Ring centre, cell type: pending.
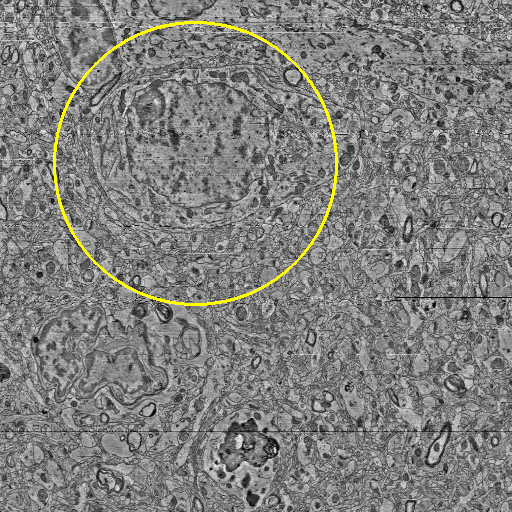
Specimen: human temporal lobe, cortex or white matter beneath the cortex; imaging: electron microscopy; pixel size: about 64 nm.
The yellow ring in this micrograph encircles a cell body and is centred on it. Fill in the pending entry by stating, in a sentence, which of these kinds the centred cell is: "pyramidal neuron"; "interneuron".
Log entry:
The centred cell is recorded as an interneuron.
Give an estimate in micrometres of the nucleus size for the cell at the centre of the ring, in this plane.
About 9 micrometres across in this plane.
